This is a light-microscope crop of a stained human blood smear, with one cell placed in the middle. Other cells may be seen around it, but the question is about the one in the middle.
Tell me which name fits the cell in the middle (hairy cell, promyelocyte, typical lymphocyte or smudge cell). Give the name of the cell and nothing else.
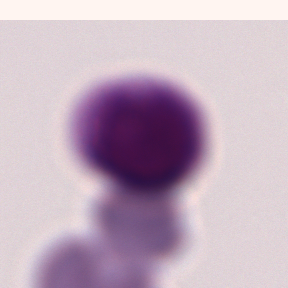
smudge cell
